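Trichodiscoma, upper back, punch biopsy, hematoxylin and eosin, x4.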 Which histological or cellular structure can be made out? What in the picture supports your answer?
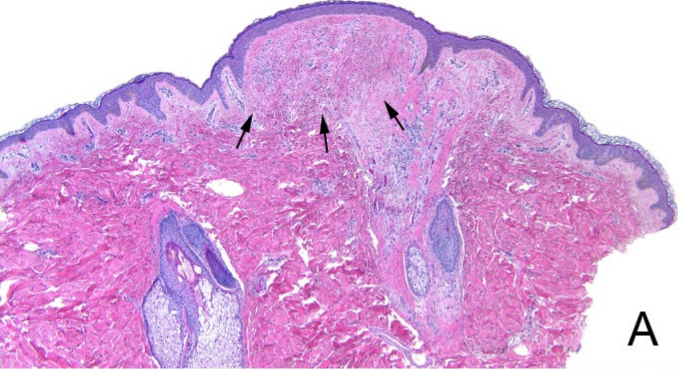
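Dome-shaped papule. A raised, rounded elevation of the skin surface sits in the middle of the section. Beneath it lies a paler, loosely textured dermal zone unlike the surrounding dense pink dermis.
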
